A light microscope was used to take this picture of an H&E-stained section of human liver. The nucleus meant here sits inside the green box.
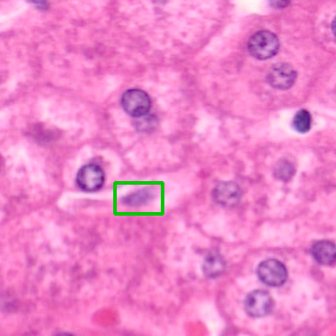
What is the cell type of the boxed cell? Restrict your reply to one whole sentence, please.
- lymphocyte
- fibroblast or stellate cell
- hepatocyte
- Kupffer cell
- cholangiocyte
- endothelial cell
Cytologically, the boxed cell is to be regarded as a Kupffer cell.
